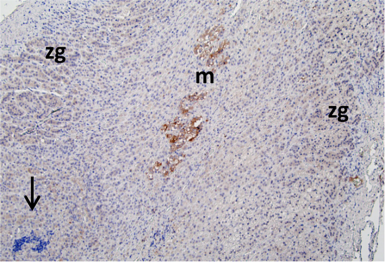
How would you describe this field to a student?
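Adrenal gland with cortex and medulla. A small central group of medullary cells shows strong brown granular cytoplasmic staining, while the surrounding cortical cells in cords and rounded clusters of the zona glomerulosa stain only faintly brown. In the lower left corner a compact cluster of small dark blue round nuclei lacks brown stain, consistent with lymphocytes.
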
